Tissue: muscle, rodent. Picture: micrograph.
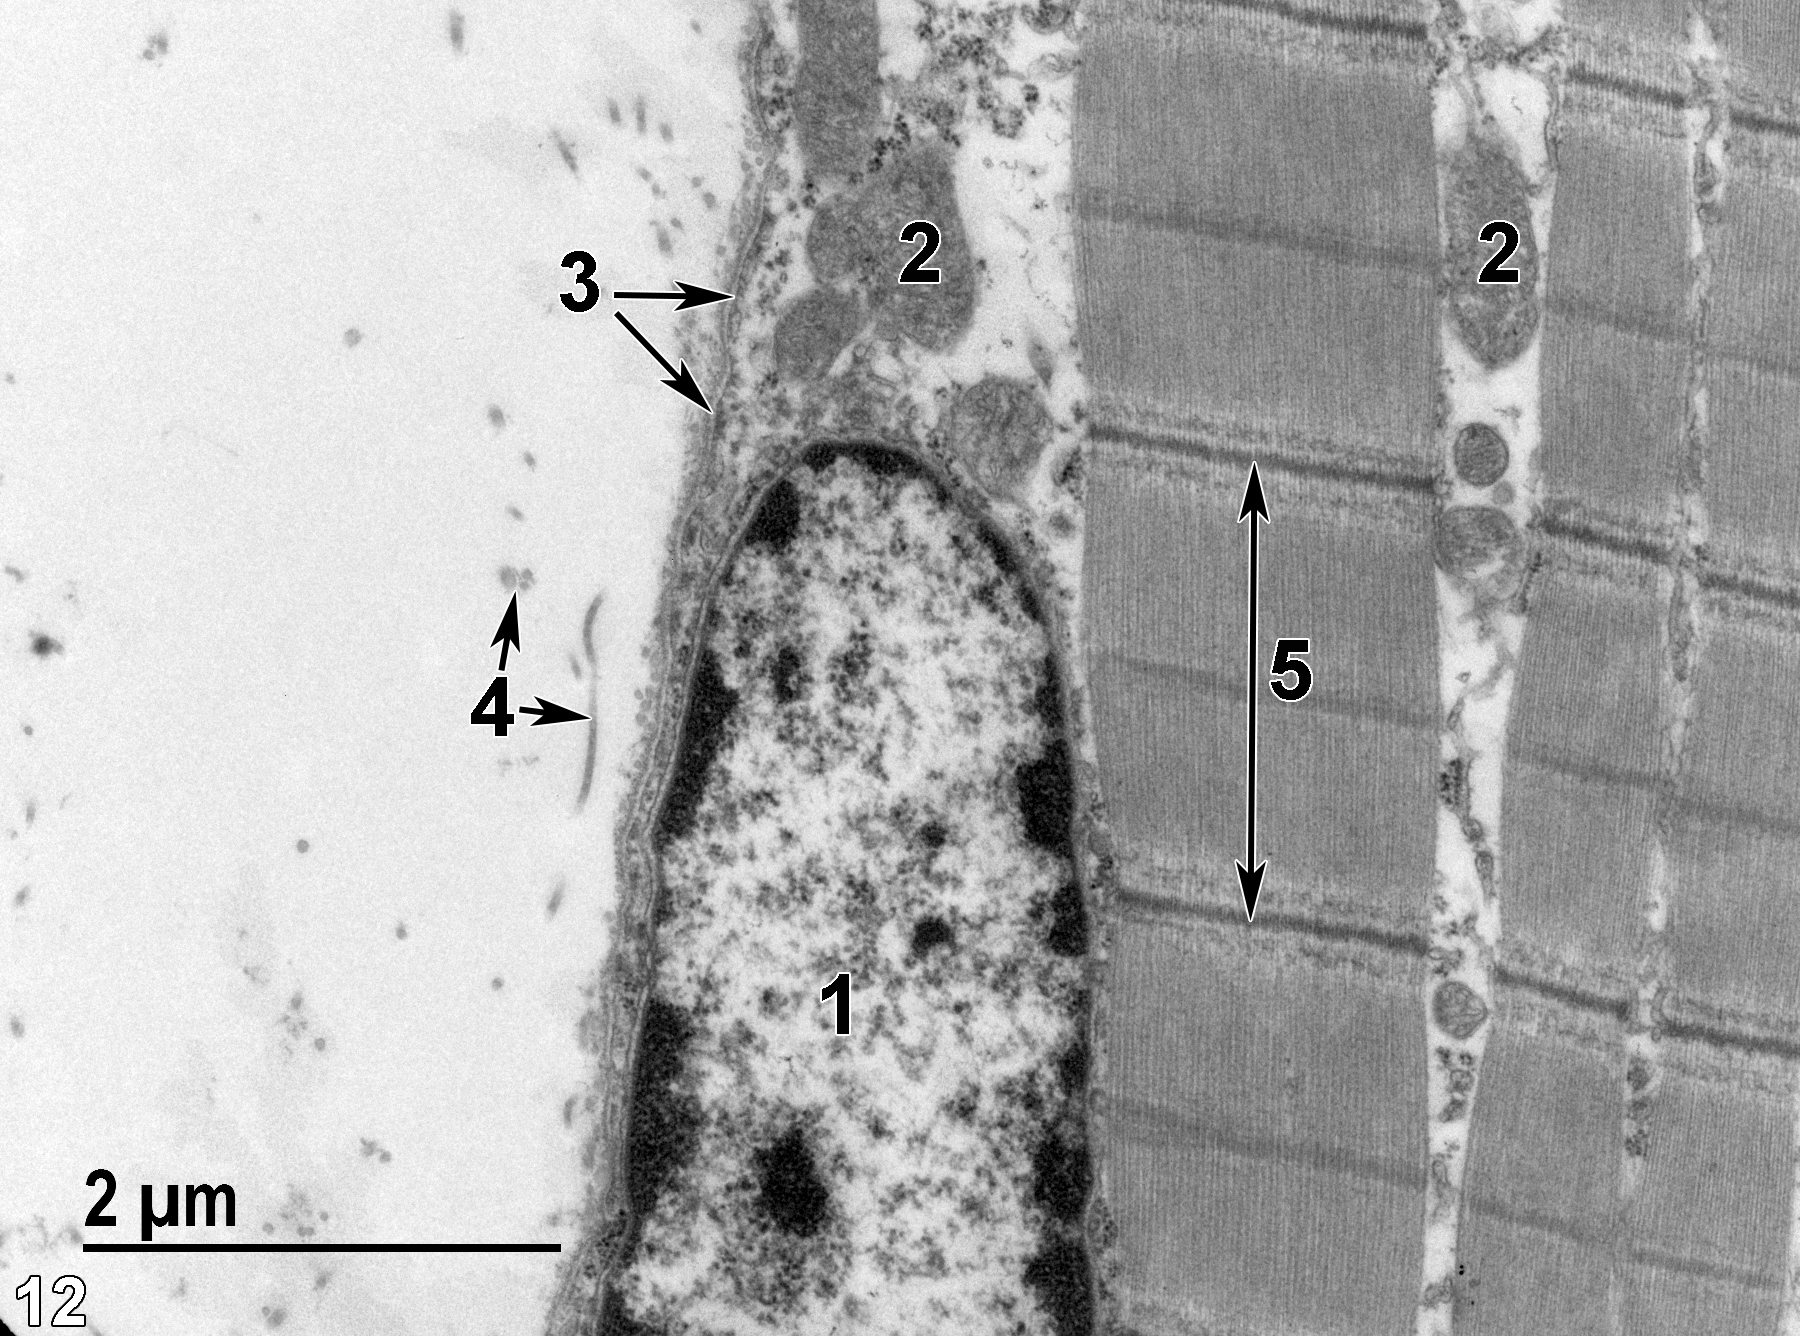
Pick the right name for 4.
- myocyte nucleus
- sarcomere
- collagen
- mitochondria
collagen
